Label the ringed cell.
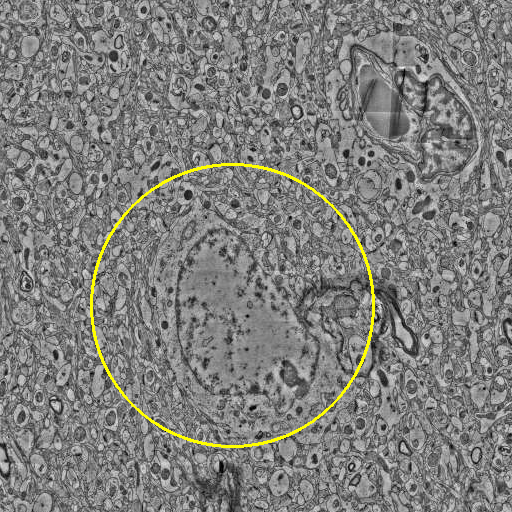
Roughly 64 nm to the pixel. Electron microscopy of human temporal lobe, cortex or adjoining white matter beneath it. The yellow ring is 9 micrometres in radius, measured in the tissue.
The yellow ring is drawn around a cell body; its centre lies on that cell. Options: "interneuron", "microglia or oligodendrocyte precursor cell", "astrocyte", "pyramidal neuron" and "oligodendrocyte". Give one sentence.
The ringed cell is an interneuron.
